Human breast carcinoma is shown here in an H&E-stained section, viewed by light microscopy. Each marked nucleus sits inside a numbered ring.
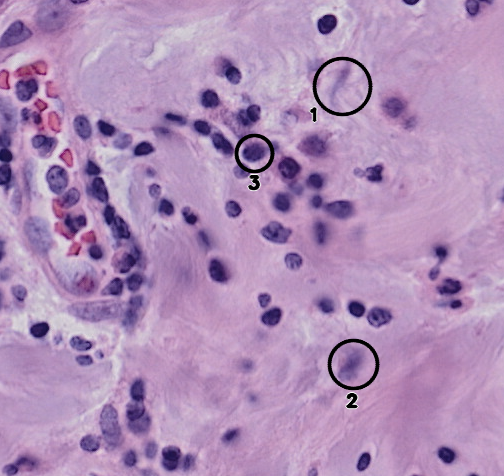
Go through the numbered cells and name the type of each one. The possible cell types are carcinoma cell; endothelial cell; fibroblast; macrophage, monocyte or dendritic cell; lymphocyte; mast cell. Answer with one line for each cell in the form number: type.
1: fibroblast
2: fibroblast
3: lymphocyte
